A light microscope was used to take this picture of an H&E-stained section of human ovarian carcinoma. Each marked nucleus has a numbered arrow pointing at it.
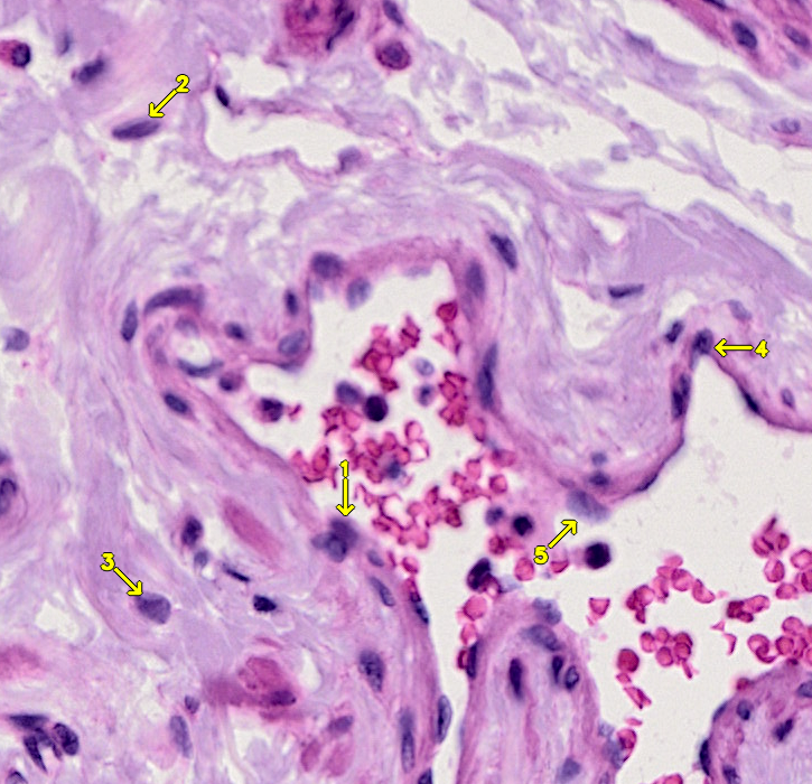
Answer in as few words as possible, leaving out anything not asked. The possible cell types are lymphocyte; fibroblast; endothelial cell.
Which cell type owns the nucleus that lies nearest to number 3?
lymphocyte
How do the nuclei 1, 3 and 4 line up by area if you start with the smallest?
4, 3, 1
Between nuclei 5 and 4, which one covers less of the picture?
4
